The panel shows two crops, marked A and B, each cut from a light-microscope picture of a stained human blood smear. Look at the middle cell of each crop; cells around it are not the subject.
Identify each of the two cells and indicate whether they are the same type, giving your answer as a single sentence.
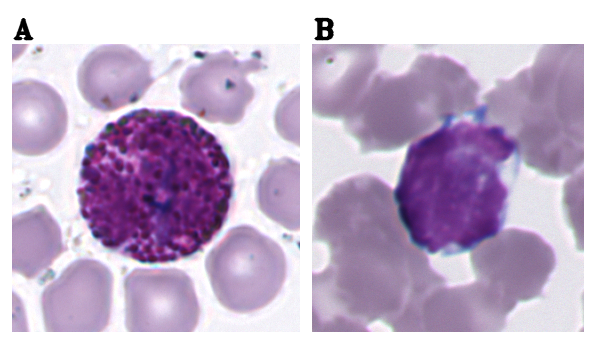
No, the middle of crop A shows a basophil, and the middle of crop B shows a typical lymphocyte.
